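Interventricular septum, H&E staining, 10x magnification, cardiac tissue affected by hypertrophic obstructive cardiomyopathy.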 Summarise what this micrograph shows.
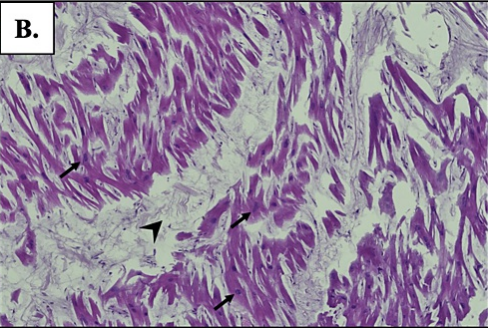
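Fibers appear thick and stain intensely purple. Broad pale grey-green areas of loose fibrillar connective tissue lie between the groups of fibers. The regular parallel alignment of normal myocardium is lost.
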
